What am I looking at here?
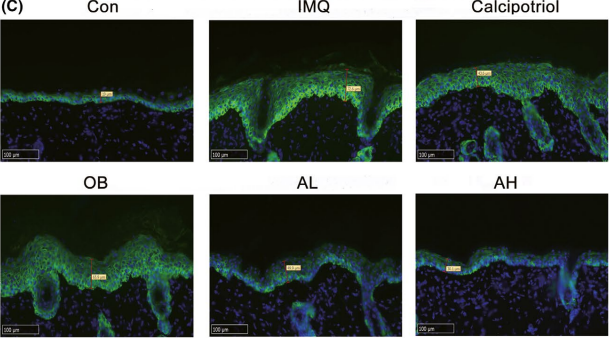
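These are sections of skin in which the epidermis shows as a green band over the dermis, where blue nuclei are scattered. The green band is thin in one image and much thicker in others, with downgrowths into the dermis around hair follicles.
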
